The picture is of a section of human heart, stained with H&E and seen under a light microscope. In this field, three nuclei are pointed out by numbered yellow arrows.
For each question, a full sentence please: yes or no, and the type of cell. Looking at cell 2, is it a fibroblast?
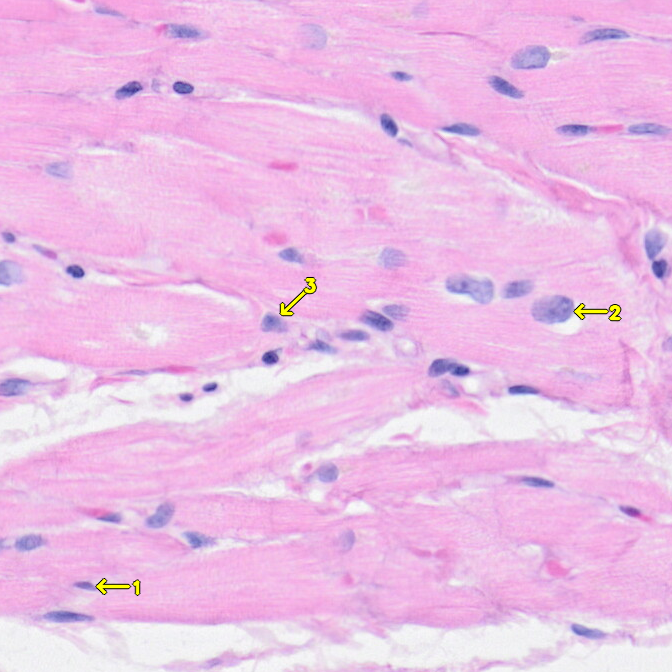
No, the cell under number 2 is a cardiomyocyte, not a fibroblast.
